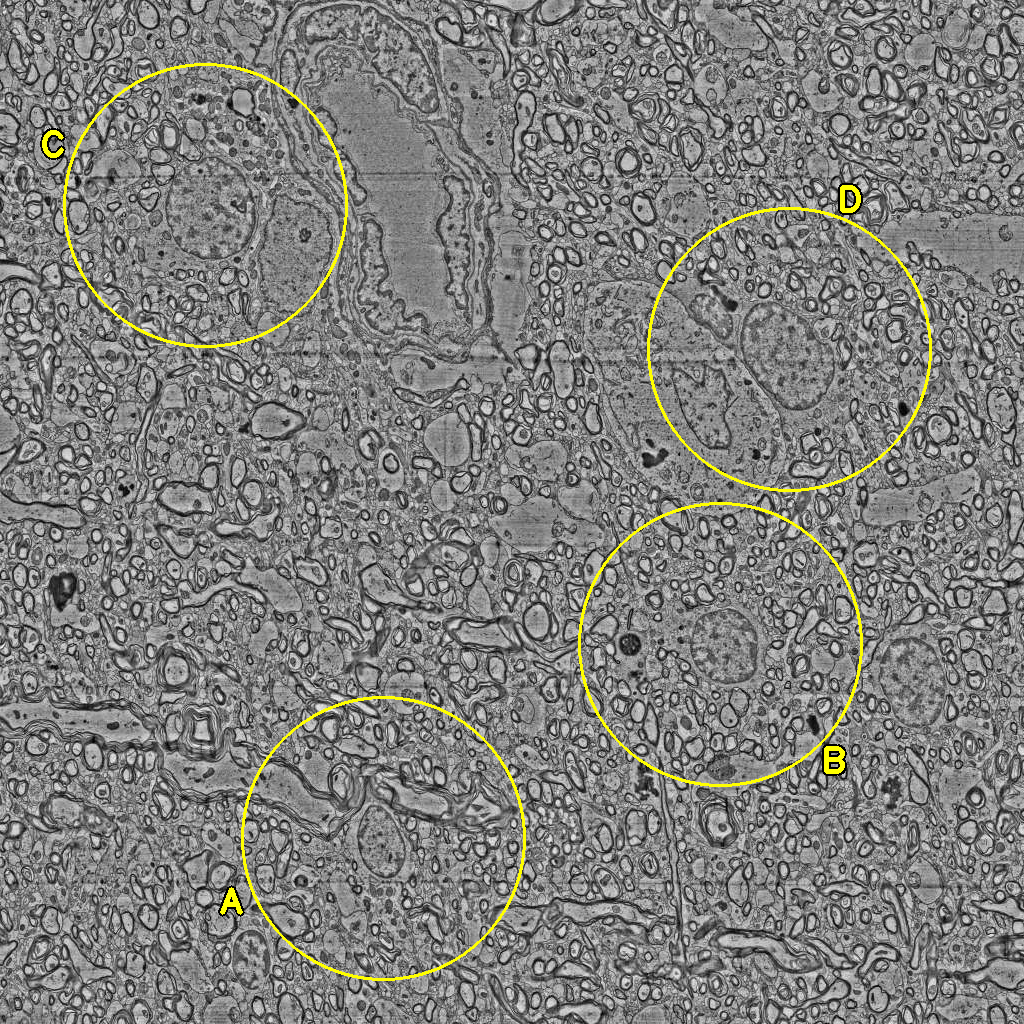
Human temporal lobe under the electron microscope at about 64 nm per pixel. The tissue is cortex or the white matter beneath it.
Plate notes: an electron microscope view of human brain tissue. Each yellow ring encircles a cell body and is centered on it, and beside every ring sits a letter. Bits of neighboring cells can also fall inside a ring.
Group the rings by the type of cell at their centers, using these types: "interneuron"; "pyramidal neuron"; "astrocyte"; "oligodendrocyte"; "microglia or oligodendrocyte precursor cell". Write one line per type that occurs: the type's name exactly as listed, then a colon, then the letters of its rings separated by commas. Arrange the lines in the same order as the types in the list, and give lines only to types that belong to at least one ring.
oligodendrocyte: B, C, D
microglia or oligodendrocyte precursor cell: A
